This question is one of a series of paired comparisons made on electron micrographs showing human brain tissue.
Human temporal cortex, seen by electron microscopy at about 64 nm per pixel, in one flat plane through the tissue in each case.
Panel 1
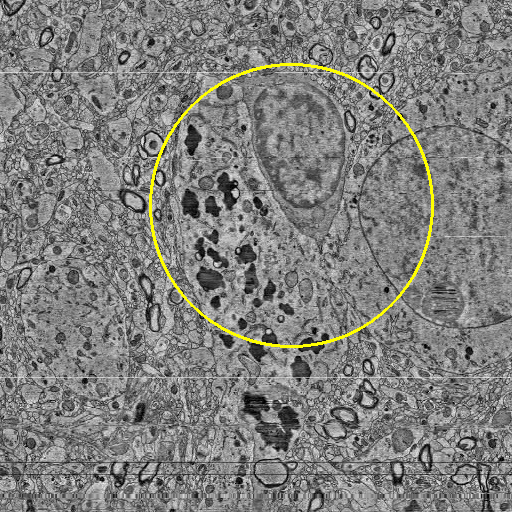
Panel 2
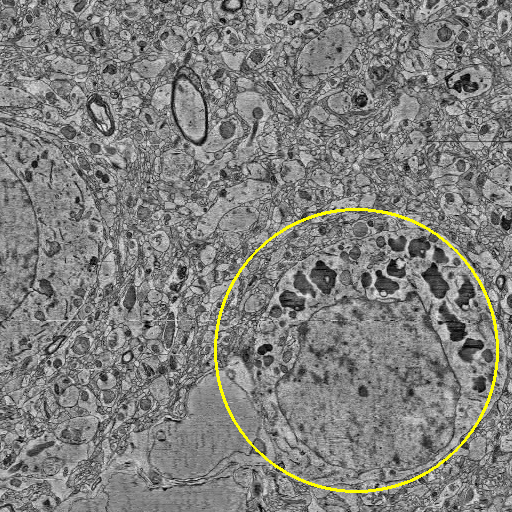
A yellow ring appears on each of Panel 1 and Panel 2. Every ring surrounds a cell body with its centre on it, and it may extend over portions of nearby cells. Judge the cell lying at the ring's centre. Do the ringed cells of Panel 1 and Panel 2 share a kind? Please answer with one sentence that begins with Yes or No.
No, the ring-centre cell in Panel 1 and the one in Panel 2 are of two kinds.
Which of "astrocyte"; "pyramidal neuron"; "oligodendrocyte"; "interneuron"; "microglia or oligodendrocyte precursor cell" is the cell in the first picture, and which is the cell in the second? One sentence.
The two differ: the first cell is an oligodendrocyte and the second is an interneuron.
